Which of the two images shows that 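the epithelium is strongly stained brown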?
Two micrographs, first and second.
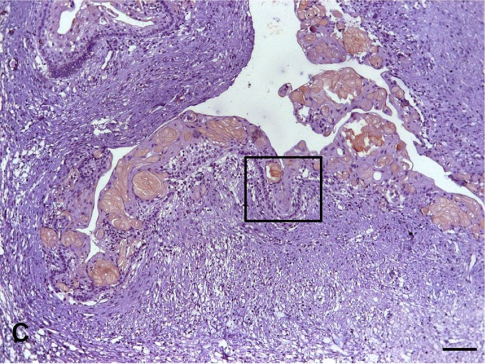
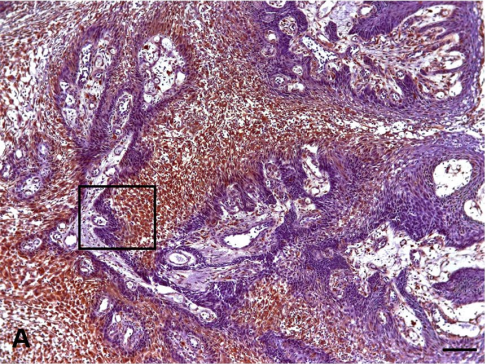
The second image.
